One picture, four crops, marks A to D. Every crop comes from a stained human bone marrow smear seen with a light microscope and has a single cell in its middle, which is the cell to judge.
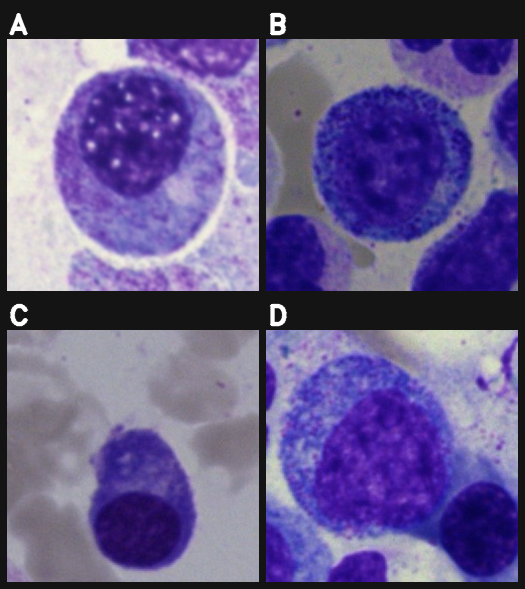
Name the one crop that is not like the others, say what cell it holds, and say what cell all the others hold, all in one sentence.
Unlike the rest, which all show promyelocytes, crop C contains a plasma cell.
